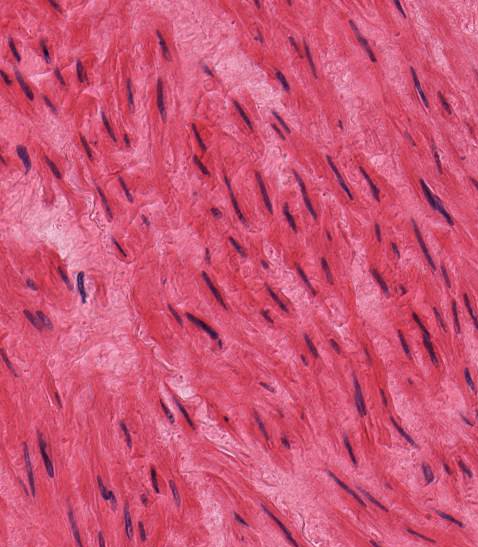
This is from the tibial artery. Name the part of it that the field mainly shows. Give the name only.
tunica media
